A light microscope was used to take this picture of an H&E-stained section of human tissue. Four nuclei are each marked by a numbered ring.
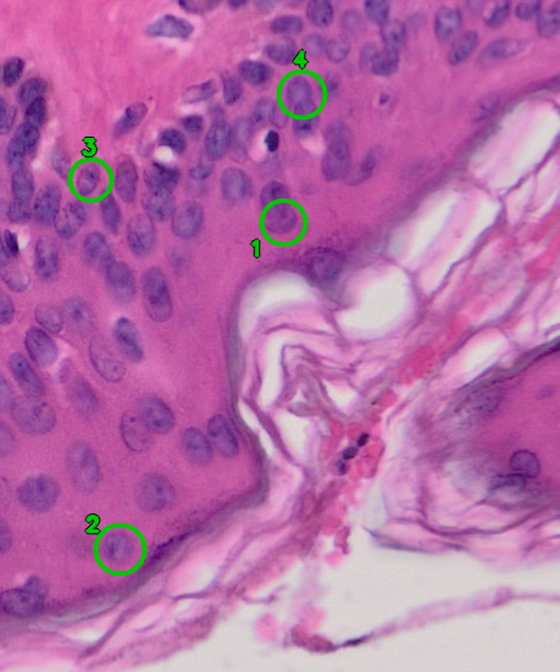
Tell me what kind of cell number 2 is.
suprabasal keratinocyte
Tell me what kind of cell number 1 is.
suprabasal keratinocyte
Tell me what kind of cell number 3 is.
basal keratinocyte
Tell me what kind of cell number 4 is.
suprabasal keratinocyte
